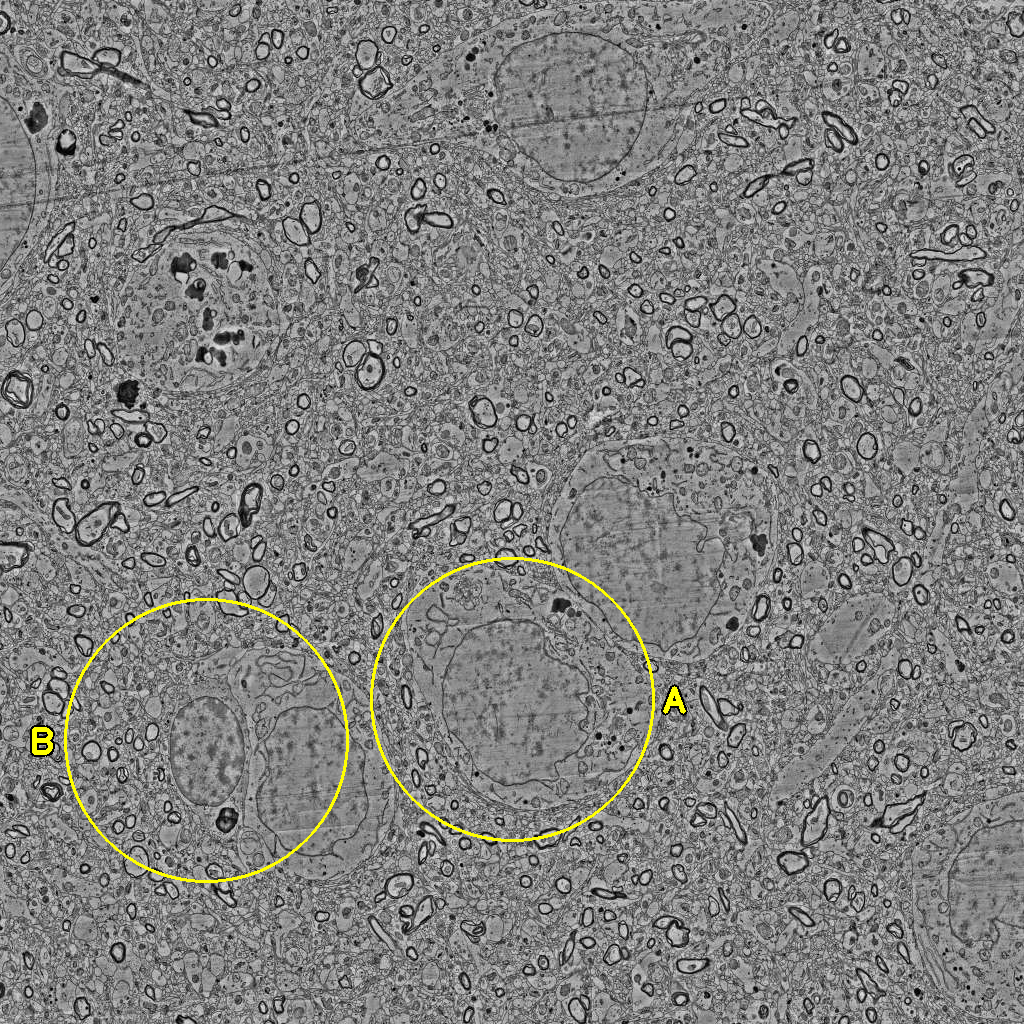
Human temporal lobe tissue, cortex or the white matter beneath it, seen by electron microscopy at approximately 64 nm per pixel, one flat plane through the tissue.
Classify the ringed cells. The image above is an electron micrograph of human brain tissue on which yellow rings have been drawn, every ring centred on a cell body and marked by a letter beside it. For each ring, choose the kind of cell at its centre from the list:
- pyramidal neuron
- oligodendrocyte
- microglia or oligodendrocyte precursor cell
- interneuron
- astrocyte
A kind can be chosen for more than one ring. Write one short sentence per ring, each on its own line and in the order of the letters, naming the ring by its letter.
Ring A is placed around a pyramidal neuron.
Ring B is placed around an oligodendrocyte.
